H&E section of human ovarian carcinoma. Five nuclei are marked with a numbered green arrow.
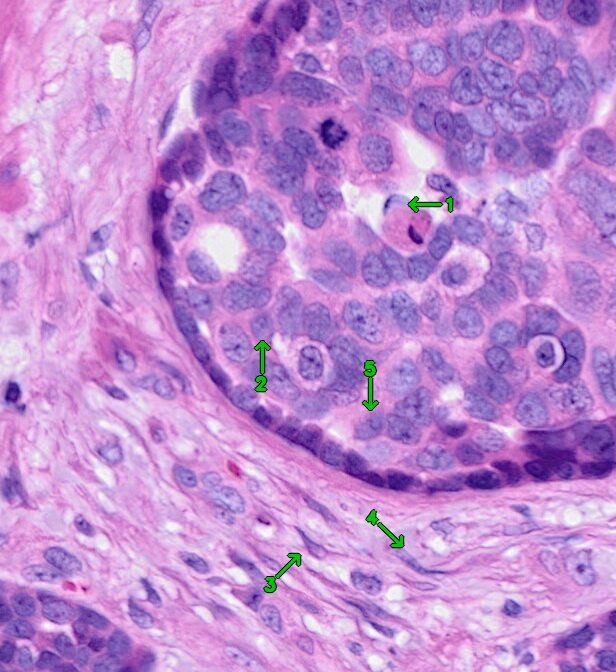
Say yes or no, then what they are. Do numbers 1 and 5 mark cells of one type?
No, that does not hold; cell 1 is a macrophage or monocyte and cell 5 is a carcinoma cell.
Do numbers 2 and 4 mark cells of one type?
No; cell 2 is a carcinoma cell, whereas cell 4 is a fibroblast.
